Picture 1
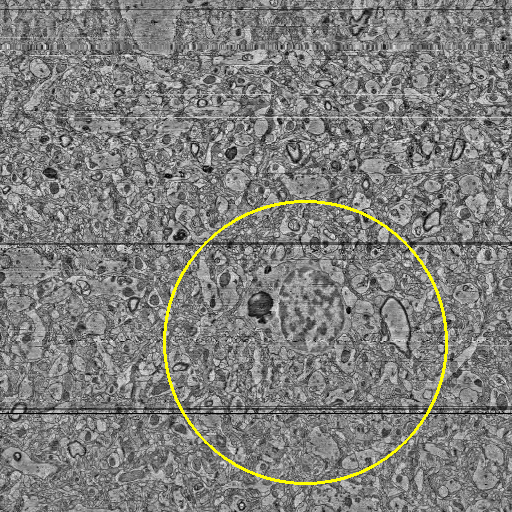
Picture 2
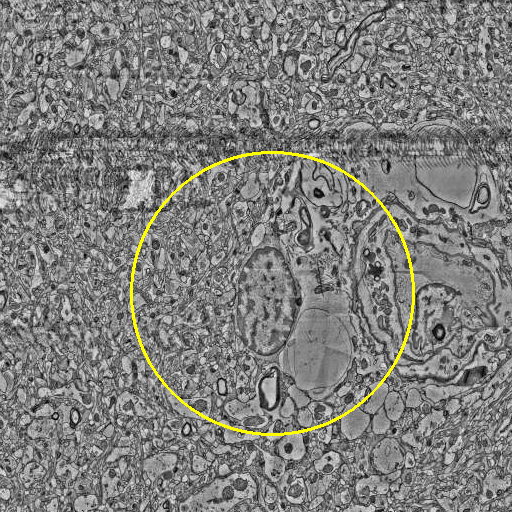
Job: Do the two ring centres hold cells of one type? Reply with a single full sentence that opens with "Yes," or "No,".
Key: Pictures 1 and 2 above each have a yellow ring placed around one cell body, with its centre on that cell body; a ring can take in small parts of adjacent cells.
Yes, the cells at the two ring centres are of one single type.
